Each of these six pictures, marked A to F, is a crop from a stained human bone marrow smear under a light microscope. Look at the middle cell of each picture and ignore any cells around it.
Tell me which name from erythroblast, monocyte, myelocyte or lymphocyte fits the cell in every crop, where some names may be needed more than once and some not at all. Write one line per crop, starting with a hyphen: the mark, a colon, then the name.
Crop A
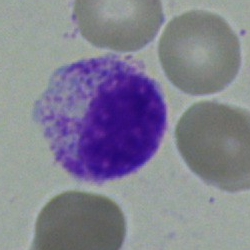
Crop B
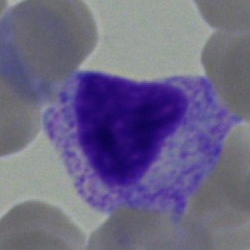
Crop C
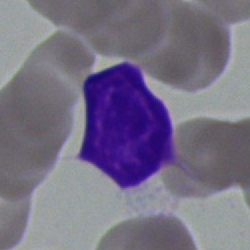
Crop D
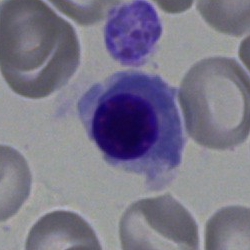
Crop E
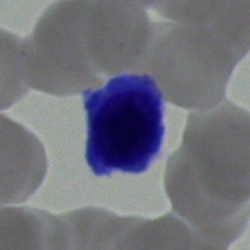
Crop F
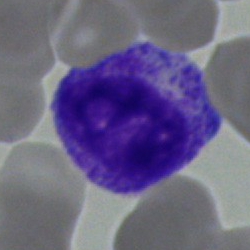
- A: myelocyte
- B: myelocyte
- C: lymphocyte
- D: erythroblast
- E: lymphocyte
- F: myelocyte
